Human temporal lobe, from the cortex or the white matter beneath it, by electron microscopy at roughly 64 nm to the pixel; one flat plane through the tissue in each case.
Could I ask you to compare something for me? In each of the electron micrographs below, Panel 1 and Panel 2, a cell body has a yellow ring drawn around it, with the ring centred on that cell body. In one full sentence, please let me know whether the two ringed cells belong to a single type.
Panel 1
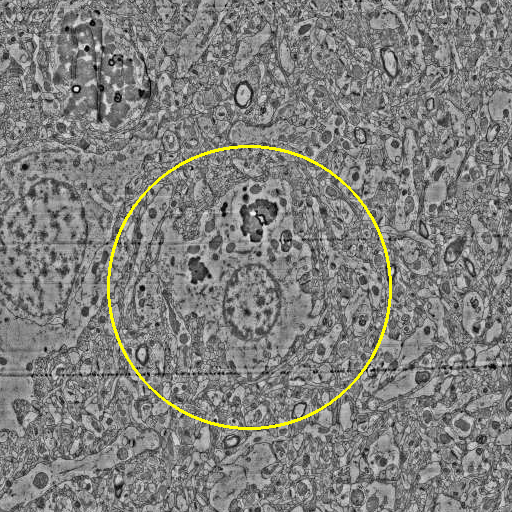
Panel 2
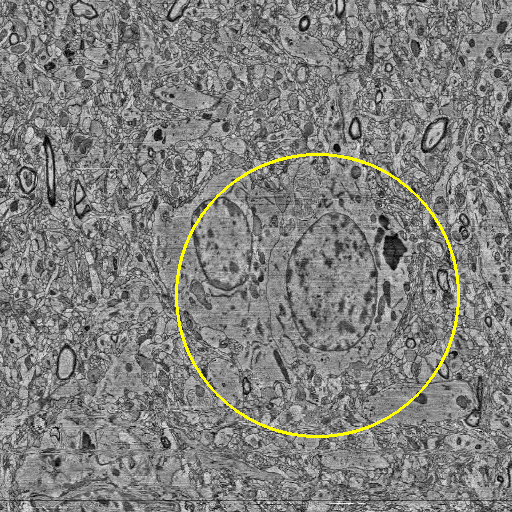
Yes, the two cells at the centres of the rings are of one type.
